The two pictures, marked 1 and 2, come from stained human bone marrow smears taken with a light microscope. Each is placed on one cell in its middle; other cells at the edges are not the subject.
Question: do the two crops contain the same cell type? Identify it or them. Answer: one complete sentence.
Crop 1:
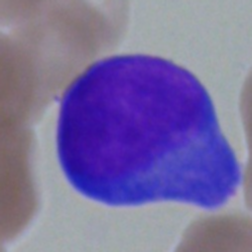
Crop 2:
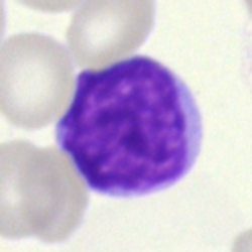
Yes, the two central cells, one per crop, are blasts.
